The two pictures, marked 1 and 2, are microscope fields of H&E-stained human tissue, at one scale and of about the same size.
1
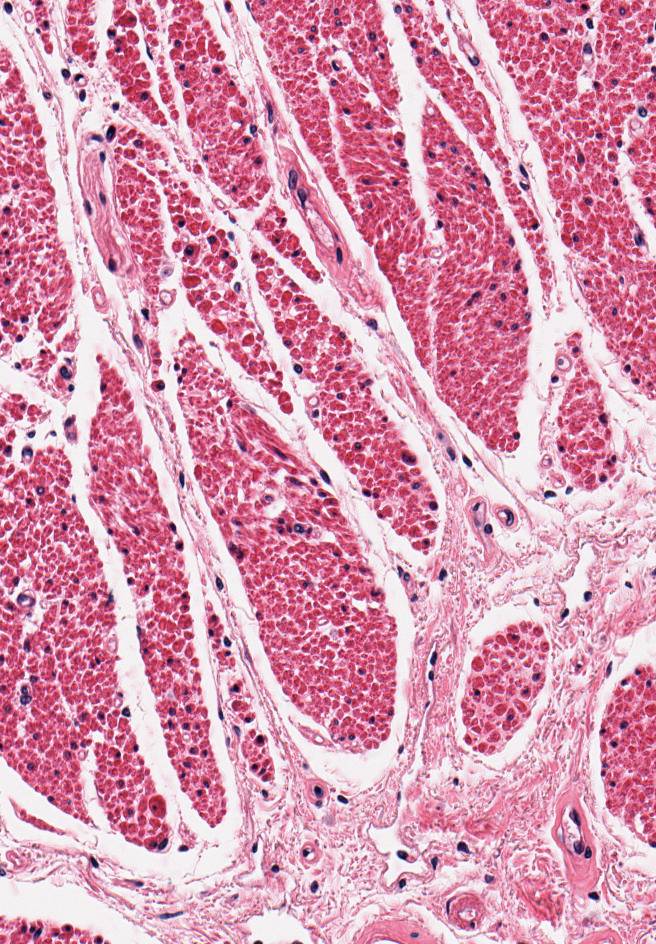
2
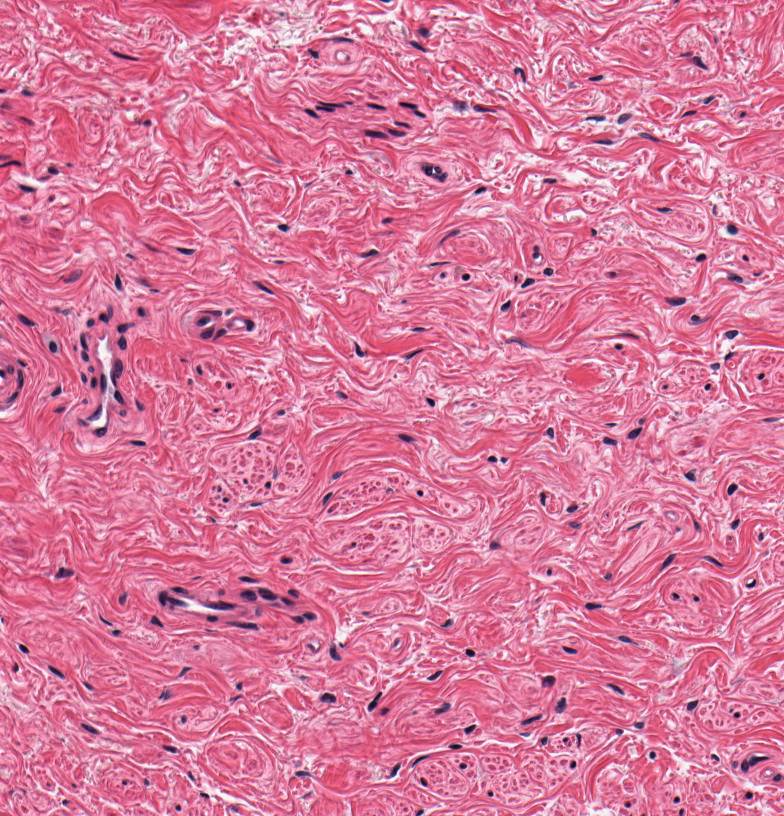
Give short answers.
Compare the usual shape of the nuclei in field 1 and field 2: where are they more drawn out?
2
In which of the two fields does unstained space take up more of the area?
1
